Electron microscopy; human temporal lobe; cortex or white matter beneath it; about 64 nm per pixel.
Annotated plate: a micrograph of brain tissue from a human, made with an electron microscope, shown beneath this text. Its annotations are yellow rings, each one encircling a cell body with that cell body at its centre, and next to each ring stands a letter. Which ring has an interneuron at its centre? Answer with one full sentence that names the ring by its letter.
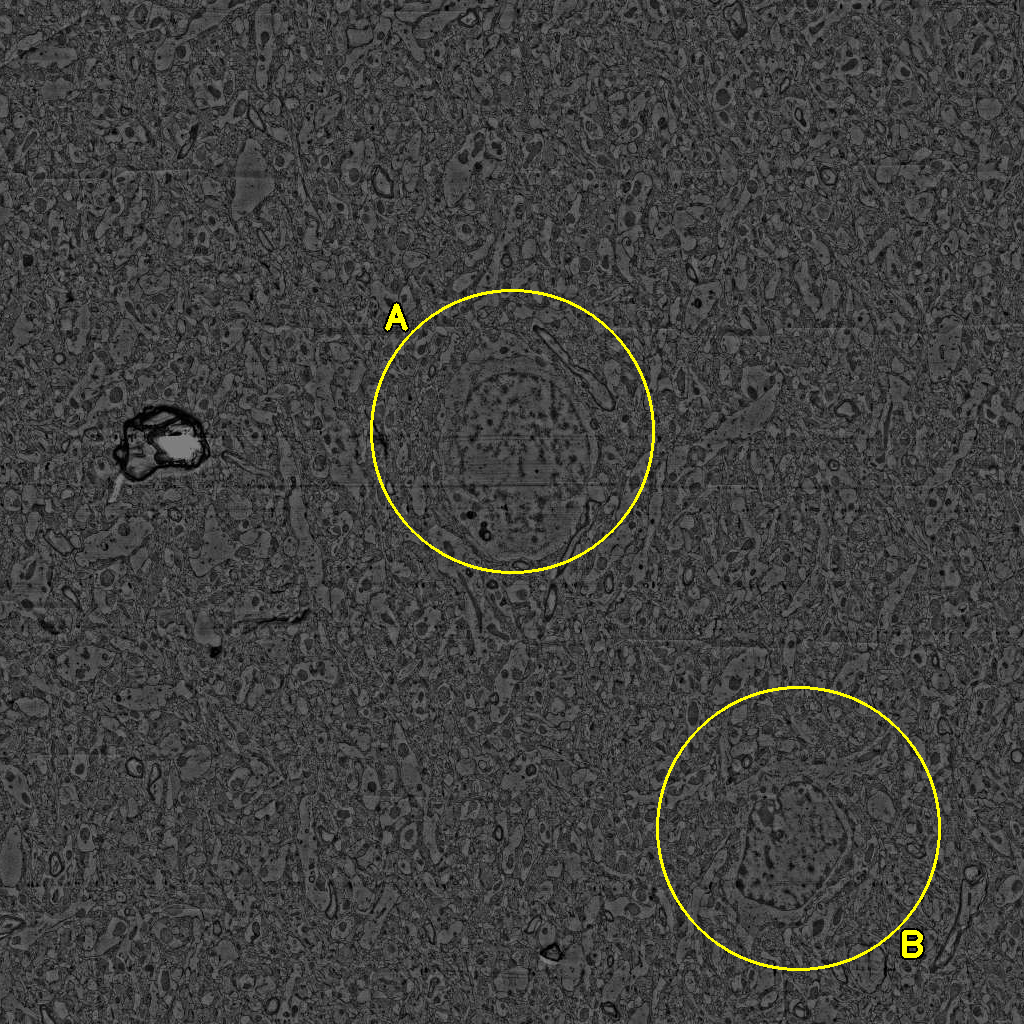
In the plate, ring A is the one centred on a cell of that kind.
